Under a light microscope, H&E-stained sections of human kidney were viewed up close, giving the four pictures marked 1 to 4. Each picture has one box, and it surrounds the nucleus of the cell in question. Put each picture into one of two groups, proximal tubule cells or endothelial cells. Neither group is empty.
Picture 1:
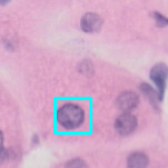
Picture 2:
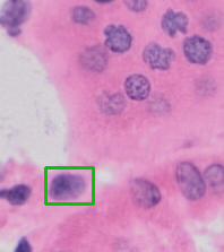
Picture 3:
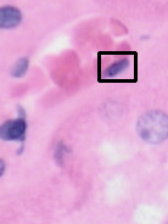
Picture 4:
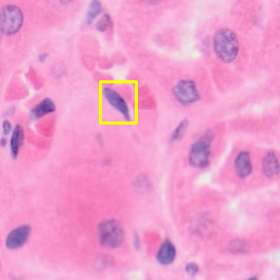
1: proximal tubule cell
2: endothelial cell
3: endothelial cell
4: endothelial cell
